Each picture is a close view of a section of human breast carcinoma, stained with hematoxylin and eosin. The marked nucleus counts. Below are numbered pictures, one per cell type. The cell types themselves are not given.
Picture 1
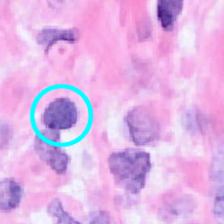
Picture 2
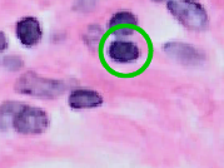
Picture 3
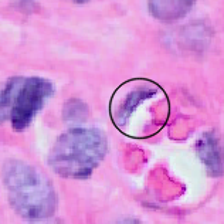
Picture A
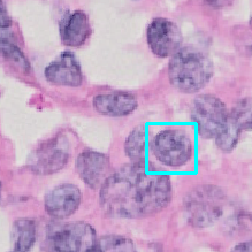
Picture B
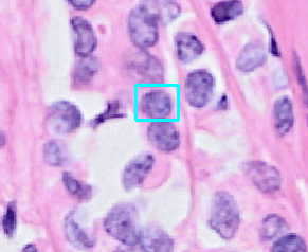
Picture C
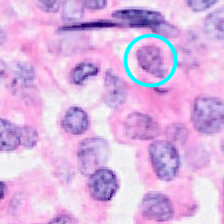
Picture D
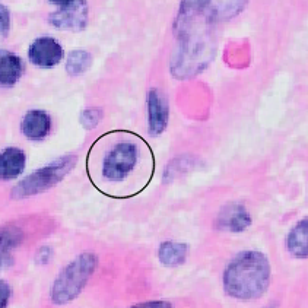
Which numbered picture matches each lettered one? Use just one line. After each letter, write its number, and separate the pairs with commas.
A 1, B 1, C 1, D 2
